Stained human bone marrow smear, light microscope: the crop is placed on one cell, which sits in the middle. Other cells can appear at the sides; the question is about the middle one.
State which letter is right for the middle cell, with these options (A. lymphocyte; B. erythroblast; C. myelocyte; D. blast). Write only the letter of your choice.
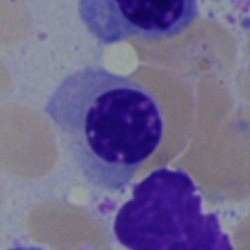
B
